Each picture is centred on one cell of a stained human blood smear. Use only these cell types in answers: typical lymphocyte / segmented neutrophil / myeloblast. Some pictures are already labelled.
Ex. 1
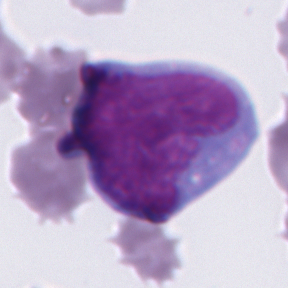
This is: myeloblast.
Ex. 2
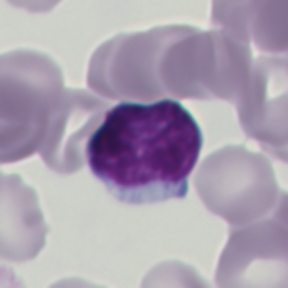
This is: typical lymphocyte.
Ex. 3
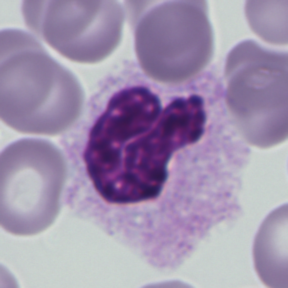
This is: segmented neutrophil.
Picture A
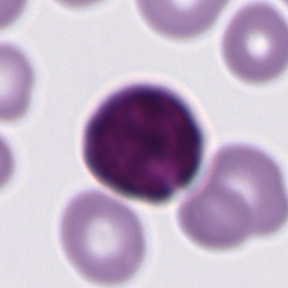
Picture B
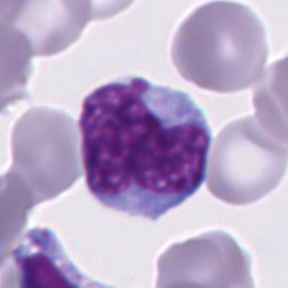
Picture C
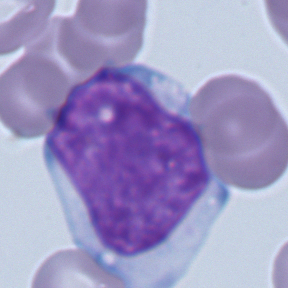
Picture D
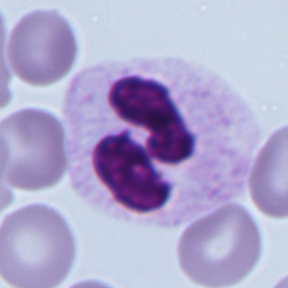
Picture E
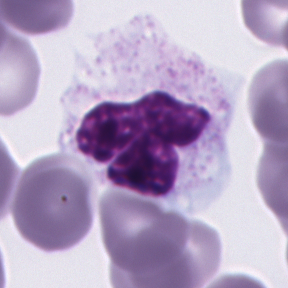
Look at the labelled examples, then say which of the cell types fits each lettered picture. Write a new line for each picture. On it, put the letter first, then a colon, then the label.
A: myeloblast.
B: typical lymphocyte.
C: myeloblast.
D: segmented neutrophil.
E: segmented neutrophil.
